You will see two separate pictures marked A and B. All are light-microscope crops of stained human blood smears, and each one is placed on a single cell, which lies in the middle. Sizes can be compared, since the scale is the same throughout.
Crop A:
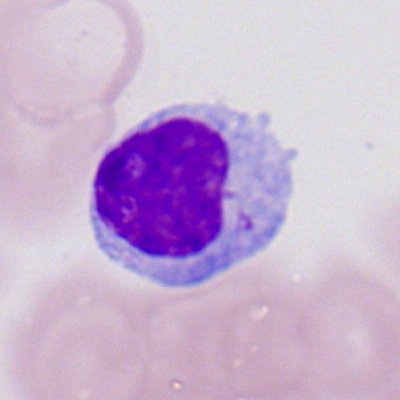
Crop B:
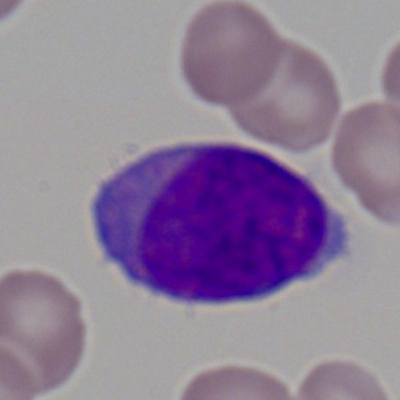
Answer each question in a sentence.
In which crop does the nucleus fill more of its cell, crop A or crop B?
In crop B the nucleus takes up the larger part of its cell.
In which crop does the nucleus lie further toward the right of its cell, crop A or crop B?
The nucleus in crop B lies further toward the right of its cell.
